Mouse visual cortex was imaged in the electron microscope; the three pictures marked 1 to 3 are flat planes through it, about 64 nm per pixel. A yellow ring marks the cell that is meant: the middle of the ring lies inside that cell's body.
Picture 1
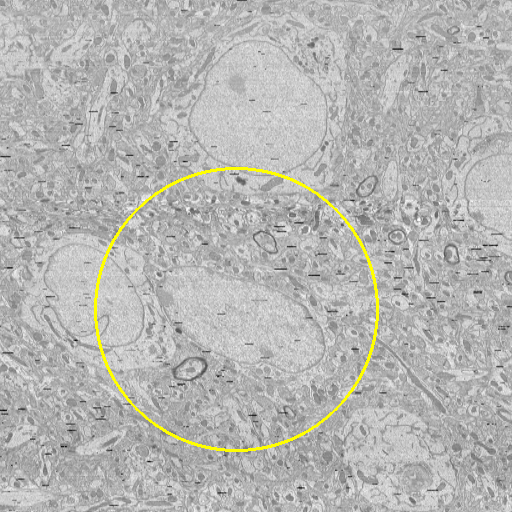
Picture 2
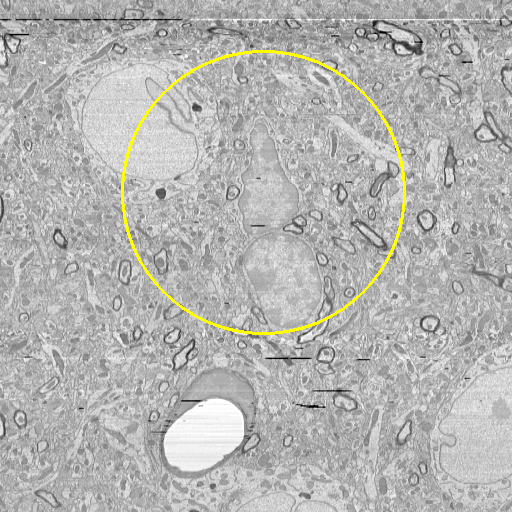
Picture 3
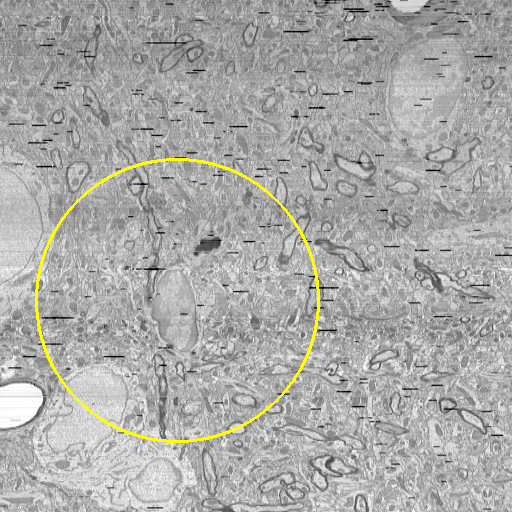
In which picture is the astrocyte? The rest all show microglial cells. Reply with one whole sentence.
The cell in picture 1 is the astrocyte.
